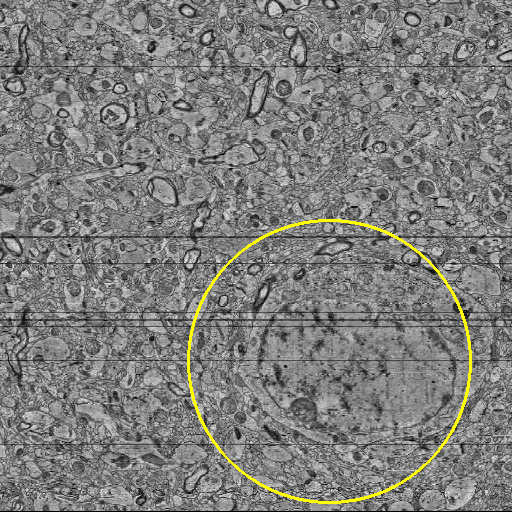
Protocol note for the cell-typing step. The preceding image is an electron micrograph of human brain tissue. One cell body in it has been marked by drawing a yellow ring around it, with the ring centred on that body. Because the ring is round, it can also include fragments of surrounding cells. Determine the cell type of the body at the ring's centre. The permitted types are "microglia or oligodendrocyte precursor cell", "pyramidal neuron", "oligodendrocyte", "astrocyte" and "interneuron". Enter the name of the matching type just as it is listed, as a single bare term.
interneuron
